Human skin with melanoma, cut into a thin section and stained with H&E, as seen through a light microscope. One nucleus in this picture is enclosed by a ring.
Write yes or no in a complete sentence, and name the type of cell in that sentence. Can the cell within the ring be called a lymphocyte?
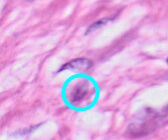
No; the cell within the ring should be labelled a fibroblast or myofibroblast rather than a lymphocyte.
